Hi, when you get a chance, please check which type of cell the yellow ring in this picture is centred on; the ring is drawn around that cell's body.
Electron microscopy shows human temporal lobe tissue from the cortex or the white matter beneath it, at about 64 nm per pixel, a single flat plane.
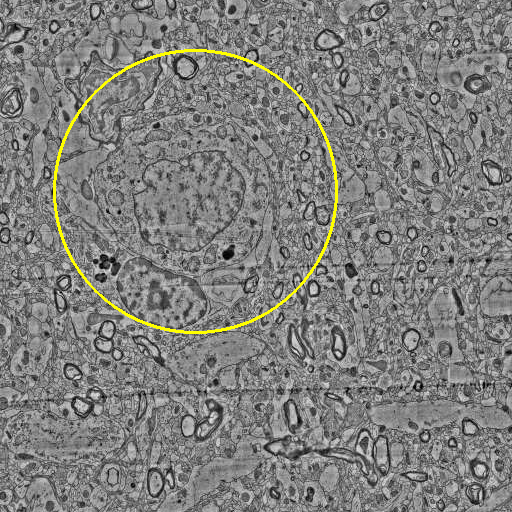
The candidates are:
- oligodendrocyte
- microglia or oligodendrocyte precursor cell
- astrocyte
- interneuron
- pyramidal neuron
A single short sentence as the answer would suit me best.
The ring is drawn around the body of a pyramidal neuron.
